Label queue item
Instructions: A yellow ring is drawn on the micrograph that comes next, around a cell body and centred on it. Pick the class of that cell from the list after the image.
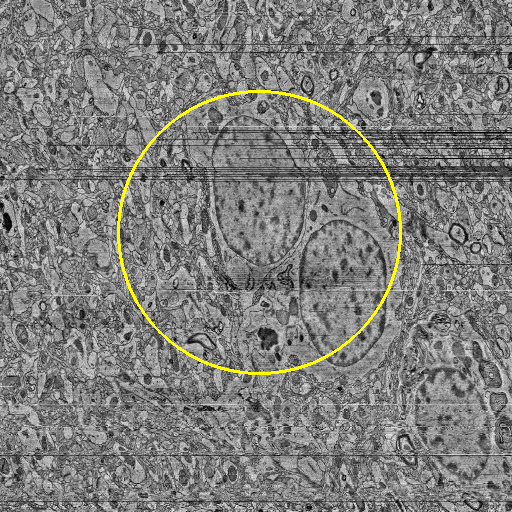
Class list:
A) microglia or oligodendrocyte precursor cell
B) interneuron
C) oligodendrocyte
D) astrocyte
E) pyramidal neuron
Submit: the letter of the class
D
